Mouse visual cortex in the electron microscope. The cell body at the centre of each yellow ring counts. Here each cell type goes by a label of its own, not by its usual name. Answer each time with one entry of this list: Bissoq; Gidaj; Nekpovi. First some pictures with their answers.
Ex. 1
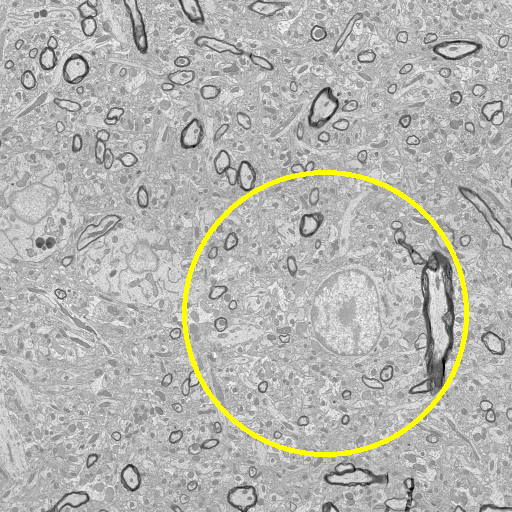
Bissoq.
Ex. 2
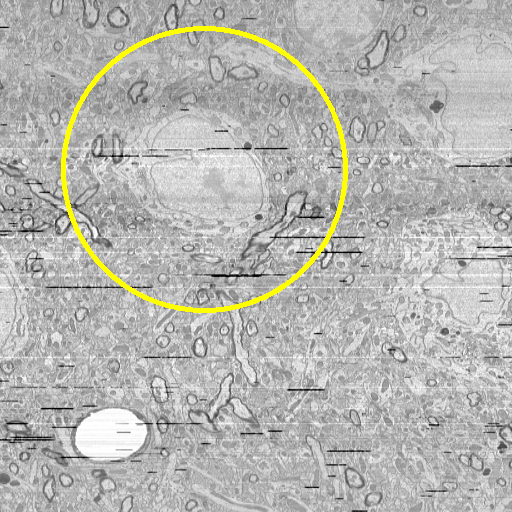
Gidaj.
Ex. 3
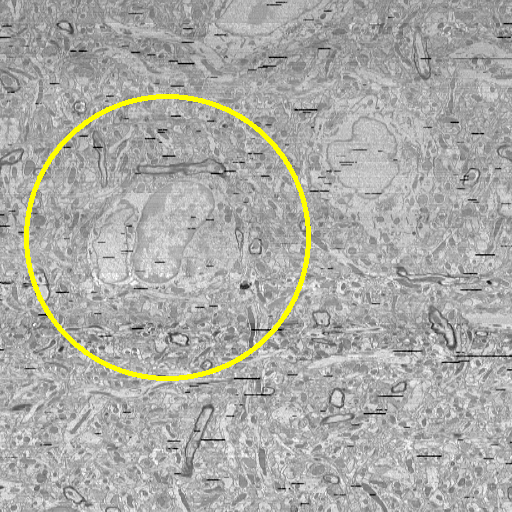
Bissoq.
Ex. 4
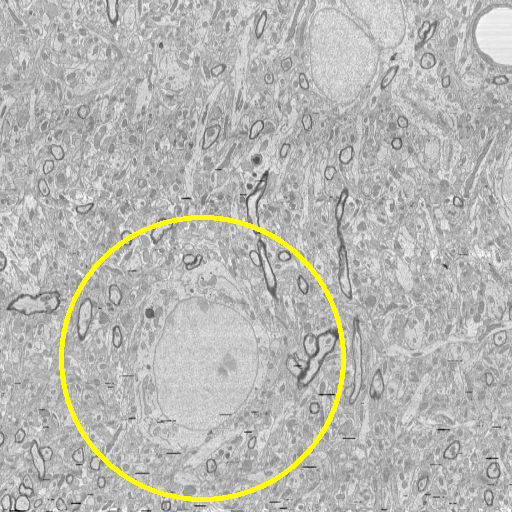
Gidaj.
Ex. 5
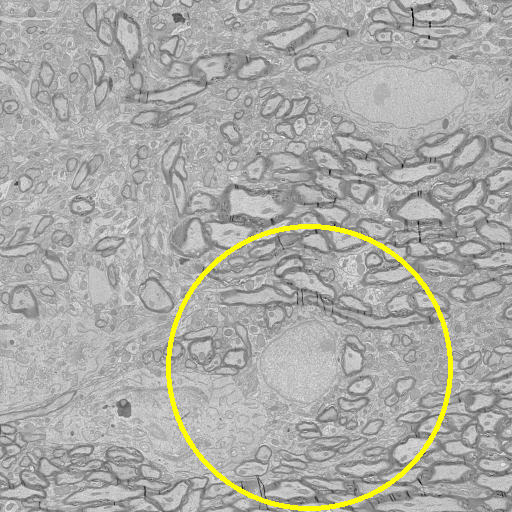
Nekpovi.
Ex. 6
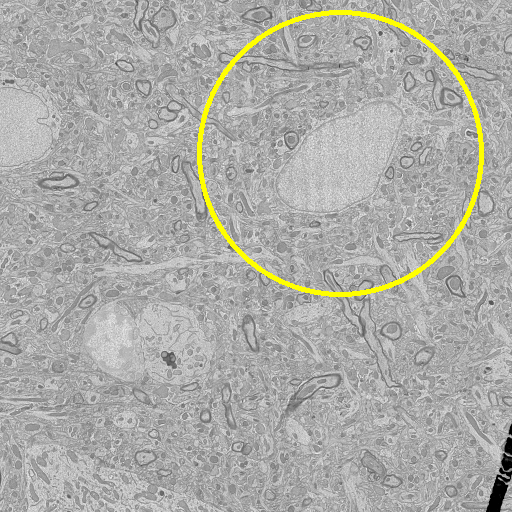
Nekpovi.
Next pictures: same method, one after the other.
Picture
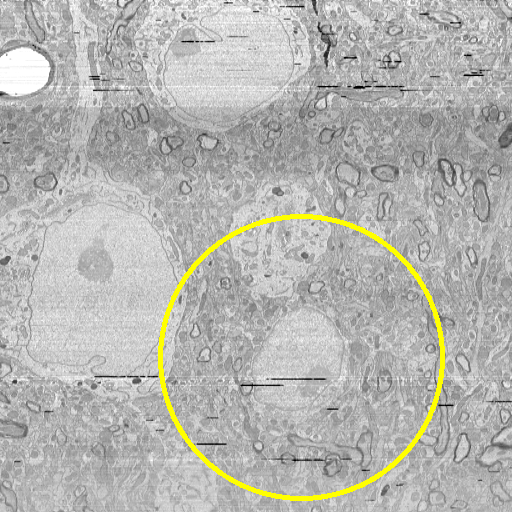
Nekpovi.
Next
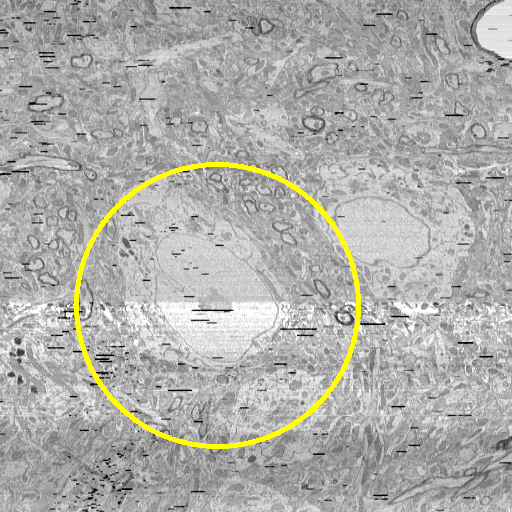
Gidaj.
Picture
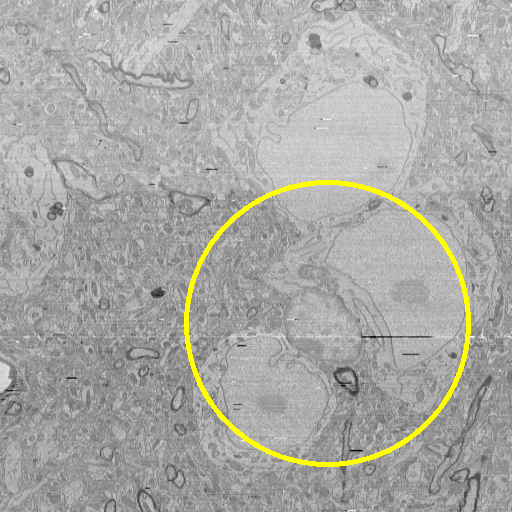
Bissoq.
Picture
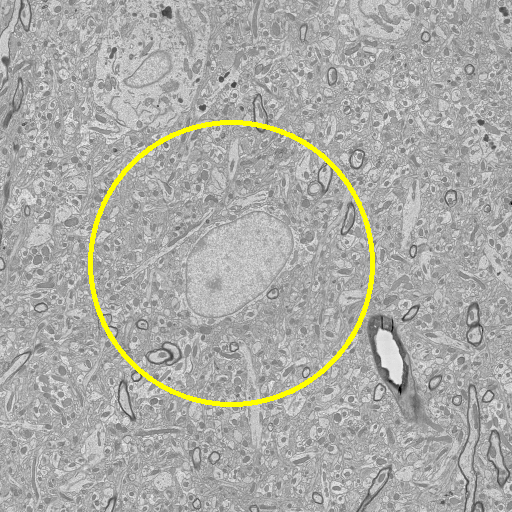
Nekpovi.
